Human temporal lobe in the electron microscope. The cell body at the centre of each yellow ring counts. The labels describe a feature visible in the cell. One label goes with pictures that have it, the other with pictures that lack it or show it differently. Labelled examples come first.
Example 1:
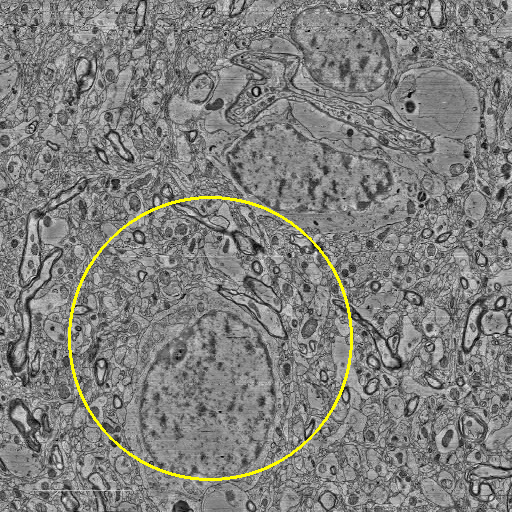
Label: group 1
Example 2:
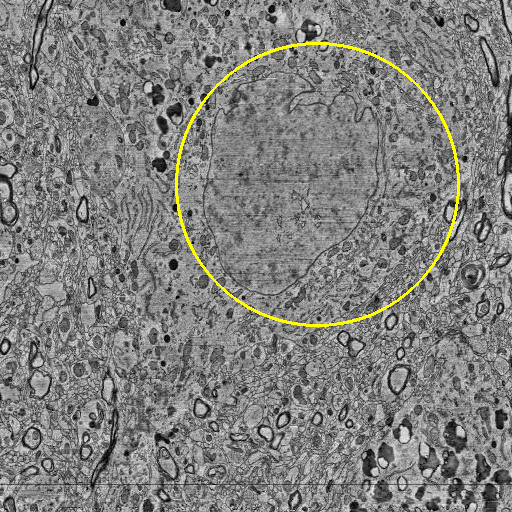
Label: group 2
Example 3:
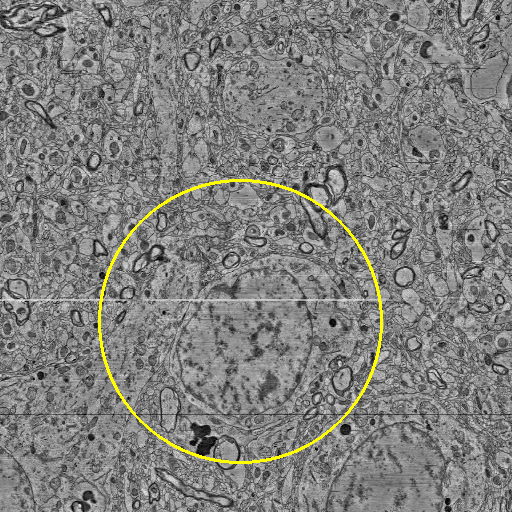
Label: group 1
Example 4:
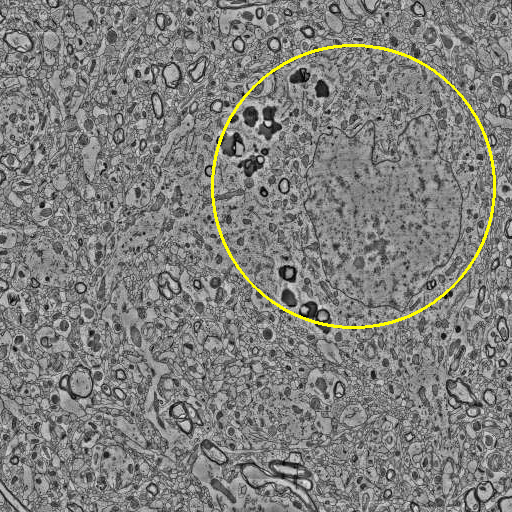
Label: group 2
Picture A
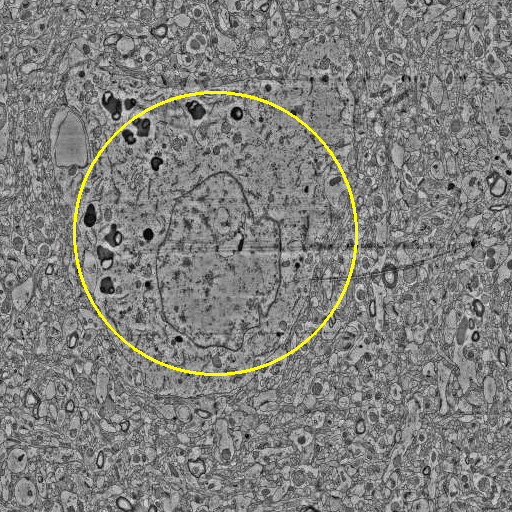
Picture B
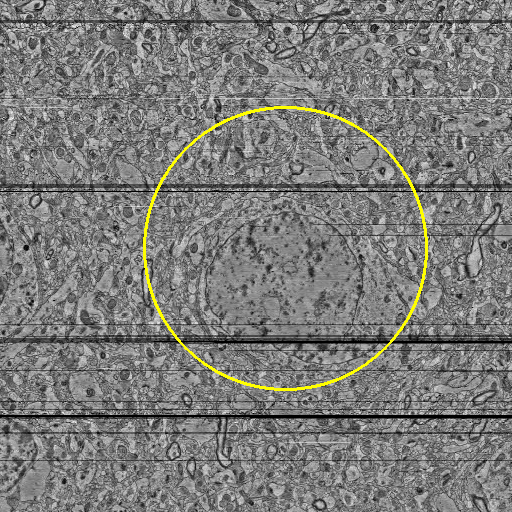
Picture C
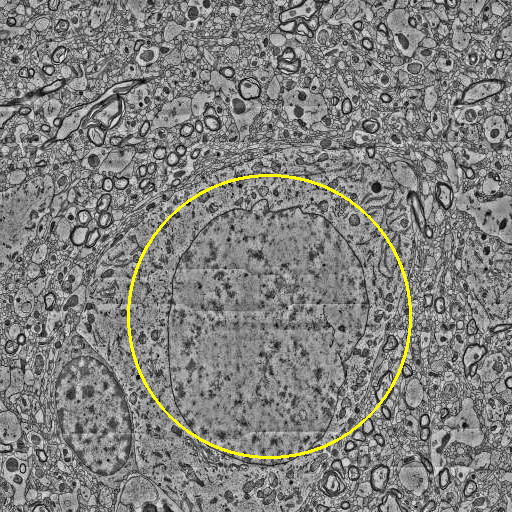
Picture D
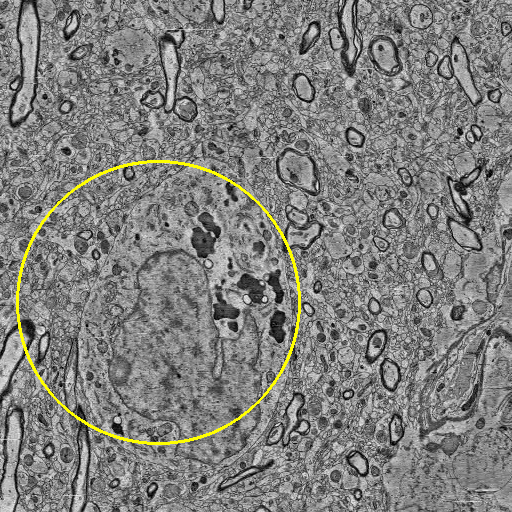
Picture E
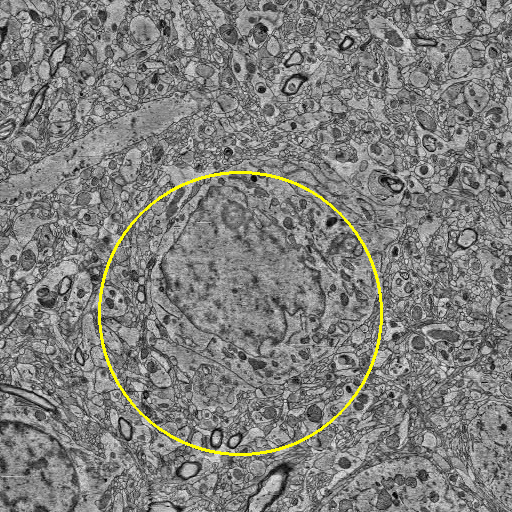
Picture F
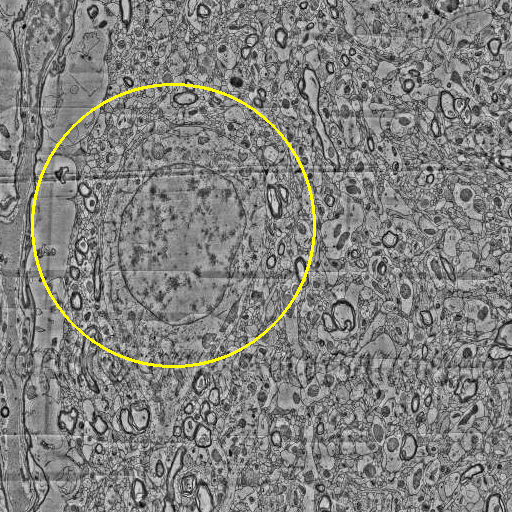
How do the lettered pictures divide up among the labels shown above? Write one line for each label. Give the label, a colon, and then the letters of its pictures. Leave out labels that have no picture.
group 1: B, F
group 2: A, C, D, E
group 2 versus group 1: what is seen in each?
Seen in group 2: deeply folded or indented nuclear envelopes; seen in group 1: smooth nuclear envelopes without deep folds.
